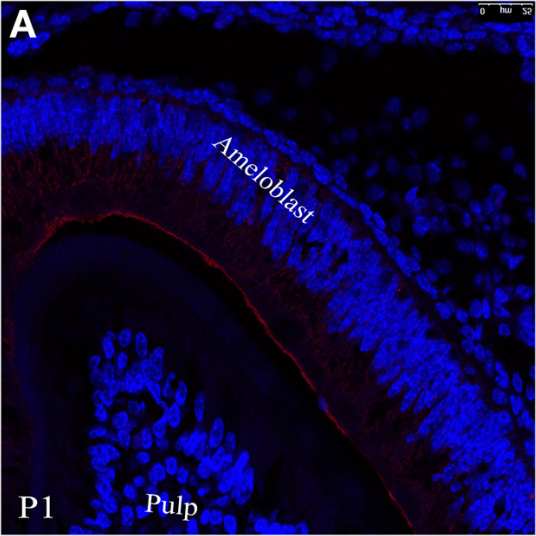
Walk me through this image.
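Below the ameloblast layer runs a dark, nucleus-free band, and beneath that the pulp shows loosely arranged rounded nuclei. A faint red tint fills the cytoplasm of the ameloblasts toward the side facing the dark band, and a thin red line traces the edge of that band.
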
